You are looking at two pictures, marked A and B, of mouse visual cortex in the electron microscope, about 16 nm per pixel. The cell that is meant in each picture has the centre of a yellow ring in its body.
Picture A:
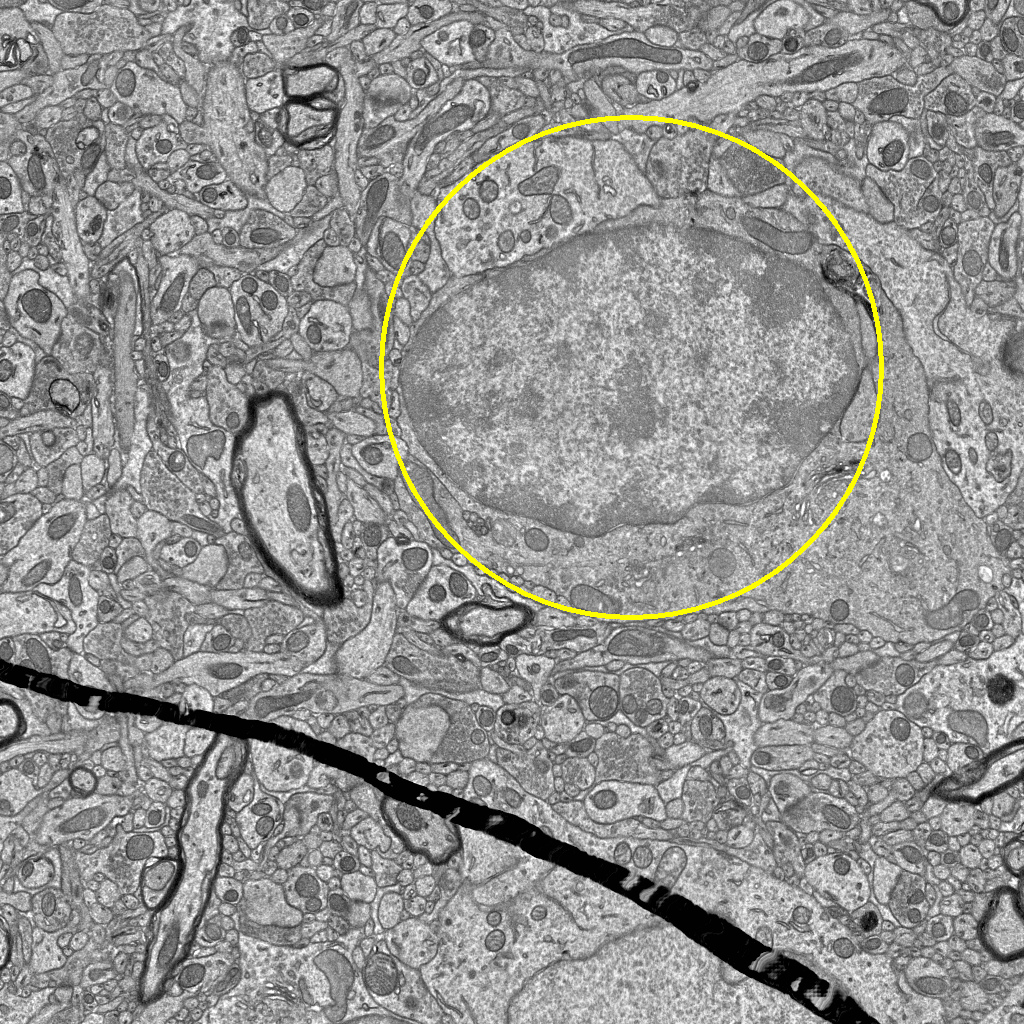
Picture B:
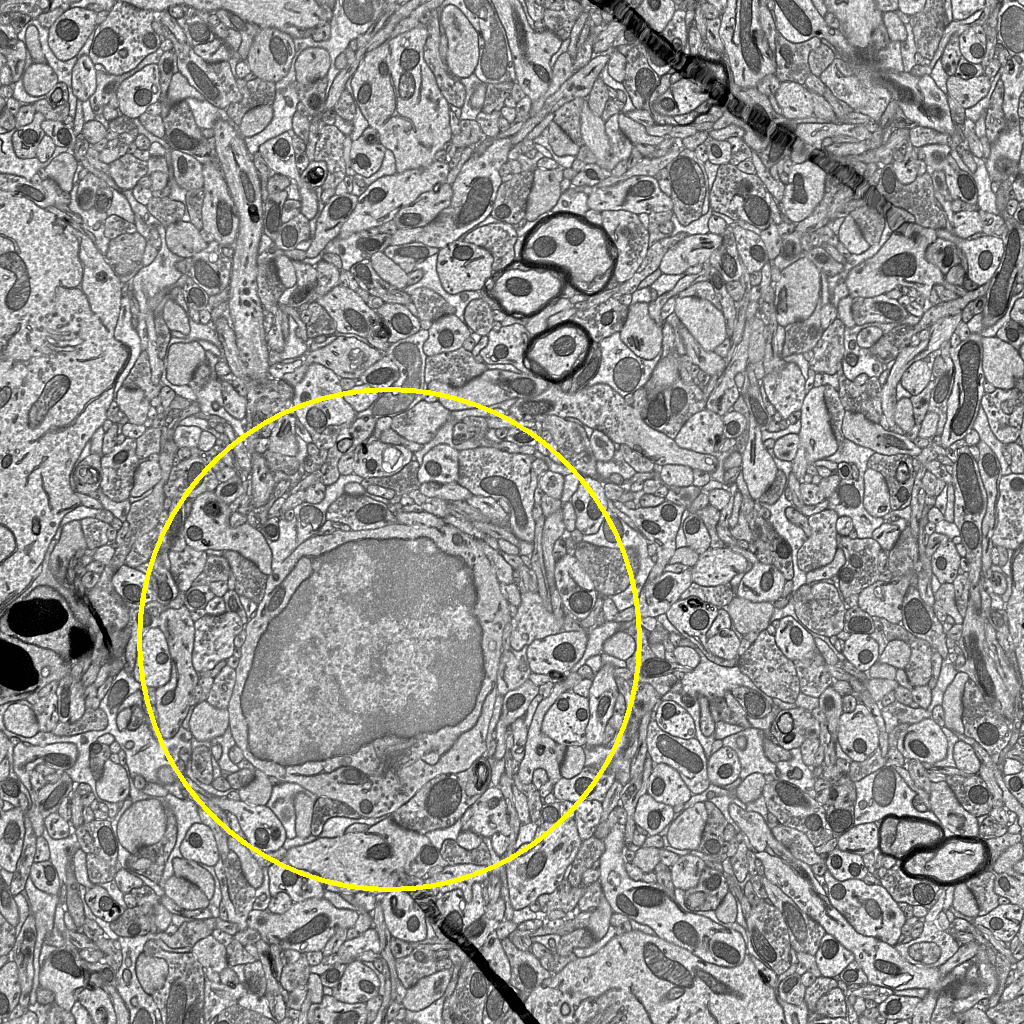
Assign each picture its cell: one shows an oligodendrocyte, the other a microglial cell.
Picture A is of an oligodendrocyte, and picture B is of a microglial cell.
